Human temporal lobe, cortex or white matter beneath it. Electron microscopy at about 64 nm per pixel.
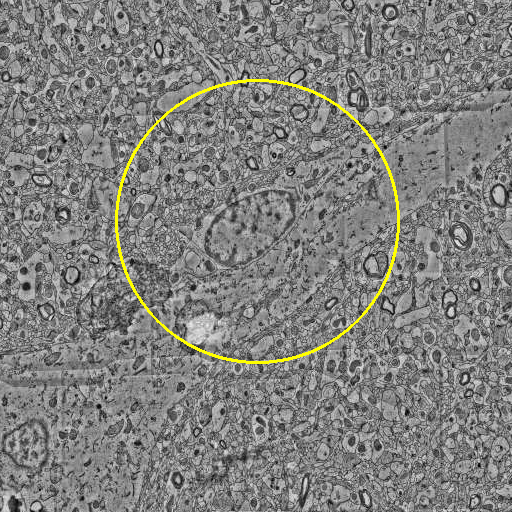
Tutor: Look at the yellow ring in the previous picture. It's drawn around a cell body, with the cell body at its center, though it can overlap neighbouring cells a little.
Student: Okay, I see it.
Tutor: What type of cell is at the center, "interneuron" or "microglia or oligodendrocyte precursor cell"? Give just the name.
microglia or oligodendrocyte precursor cell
